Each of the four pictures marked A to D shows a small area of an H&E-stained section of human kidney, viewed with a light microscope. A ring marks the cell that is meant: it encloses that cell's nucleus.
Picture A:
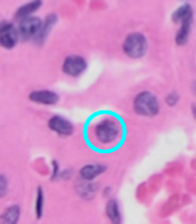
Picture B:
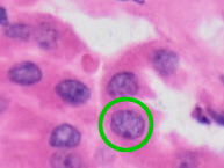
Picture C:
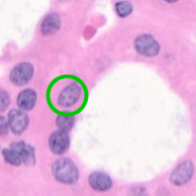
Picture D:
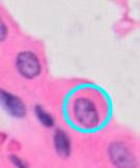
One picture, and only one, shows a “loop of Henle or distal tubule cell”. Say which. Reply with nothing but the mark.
A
